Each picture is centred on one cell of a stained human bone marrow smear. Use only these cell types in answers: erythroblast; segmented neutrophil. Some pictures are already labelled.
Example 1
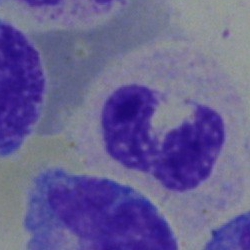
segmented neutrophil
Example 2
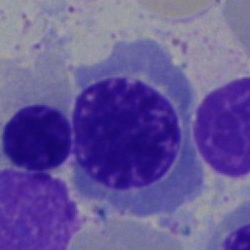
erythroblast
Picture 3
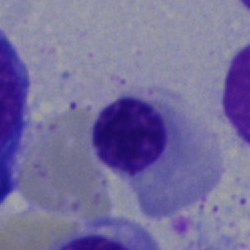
erythroblast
